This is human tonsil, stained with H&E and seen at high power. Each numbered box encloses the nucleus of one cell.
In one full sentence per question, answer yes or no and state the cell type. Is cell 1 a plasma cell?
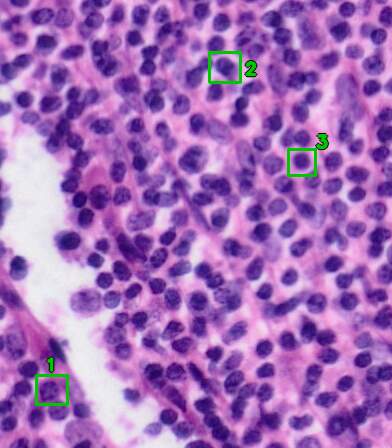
Yes, that one, number 1, is a plasma cell.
